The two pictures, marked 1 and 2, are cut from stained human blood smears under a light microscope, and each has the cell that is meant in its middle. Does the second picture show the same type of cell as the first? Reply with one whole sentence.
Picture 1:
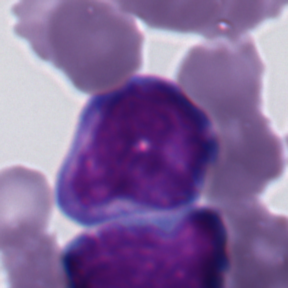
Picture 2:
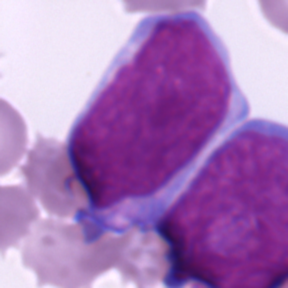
Yes, they are the same type: both are myeloblasts.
